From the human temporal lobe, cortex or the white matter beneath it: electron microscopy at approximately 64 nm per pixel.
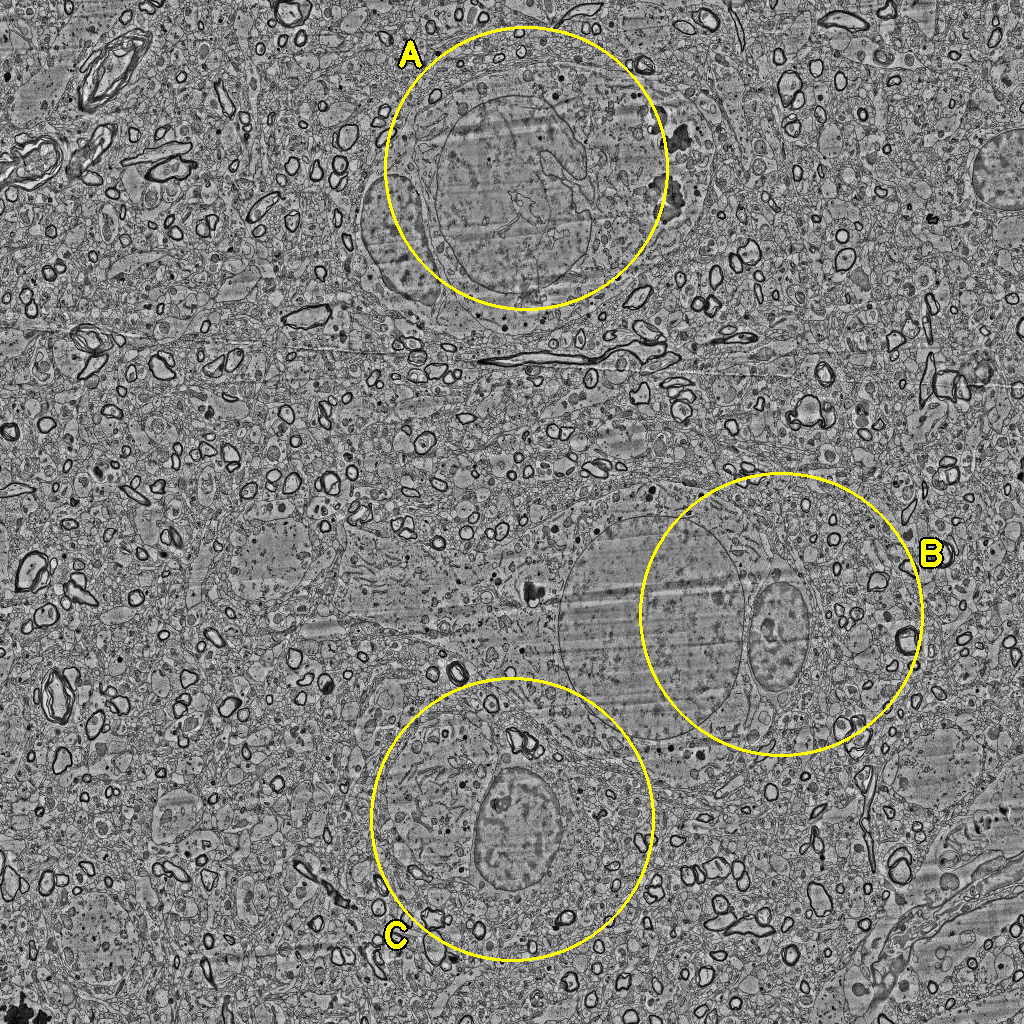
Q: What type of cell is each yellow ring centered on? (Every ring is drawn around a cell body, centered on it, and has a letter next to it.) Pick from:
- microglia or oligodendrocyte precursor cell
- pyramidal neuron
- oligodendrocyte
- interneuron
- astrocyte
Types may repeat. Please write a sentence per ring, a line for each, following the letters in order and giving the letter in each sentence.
The cell body centered in ring A belongs to a pyramidal neuron.
The cell body centered in ring B belongs to an oligodendrocyte.
The cell body centered in ring C belongs to an oligodendrocyte.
